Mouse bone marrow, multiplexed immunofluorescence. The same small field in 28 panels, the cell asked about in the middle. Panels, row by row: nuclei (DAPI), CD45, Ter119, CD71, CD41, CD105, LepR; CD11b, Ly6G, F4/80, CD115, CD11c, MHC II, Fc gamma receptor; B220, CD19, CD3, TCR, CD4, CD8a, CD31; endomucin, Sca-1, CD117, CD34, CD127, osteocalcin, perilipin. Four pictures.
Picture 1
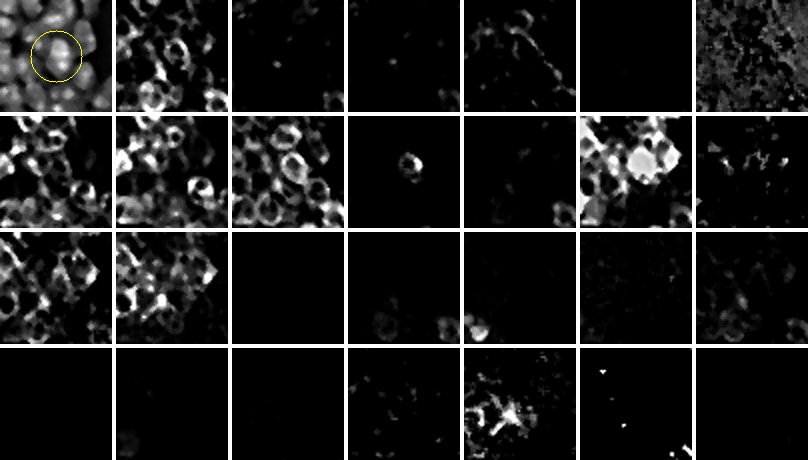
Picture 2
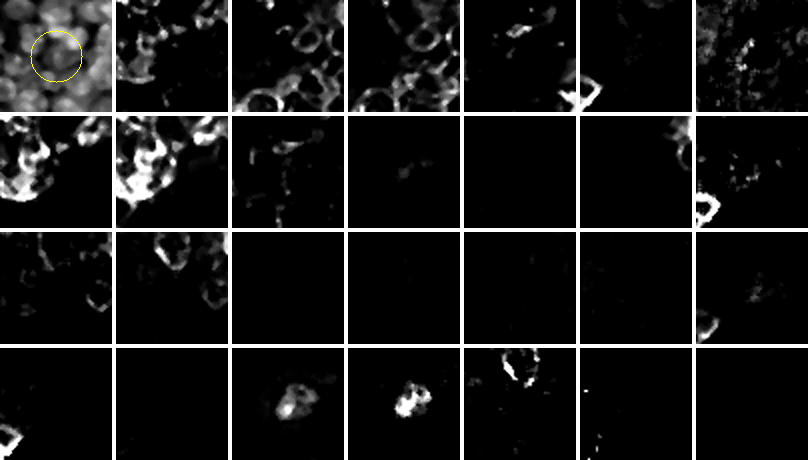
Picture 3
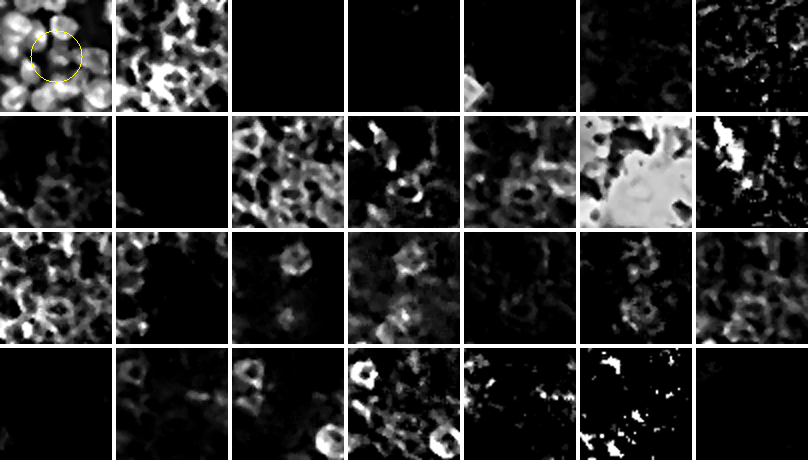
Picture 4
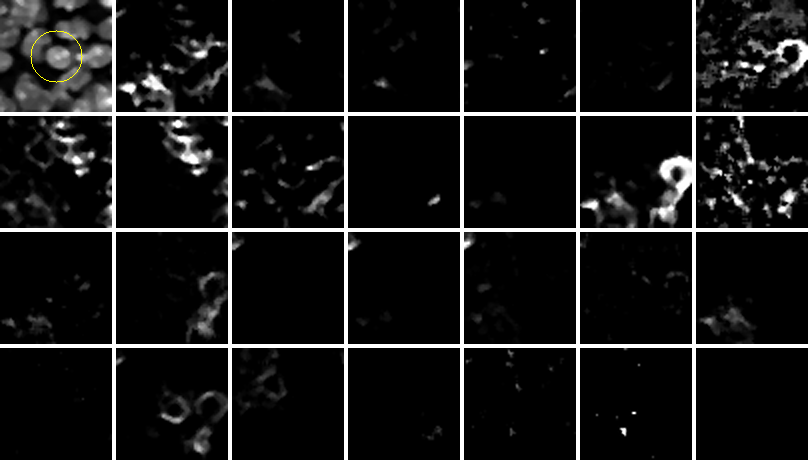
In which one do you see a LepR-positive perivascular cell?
In picture 4.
